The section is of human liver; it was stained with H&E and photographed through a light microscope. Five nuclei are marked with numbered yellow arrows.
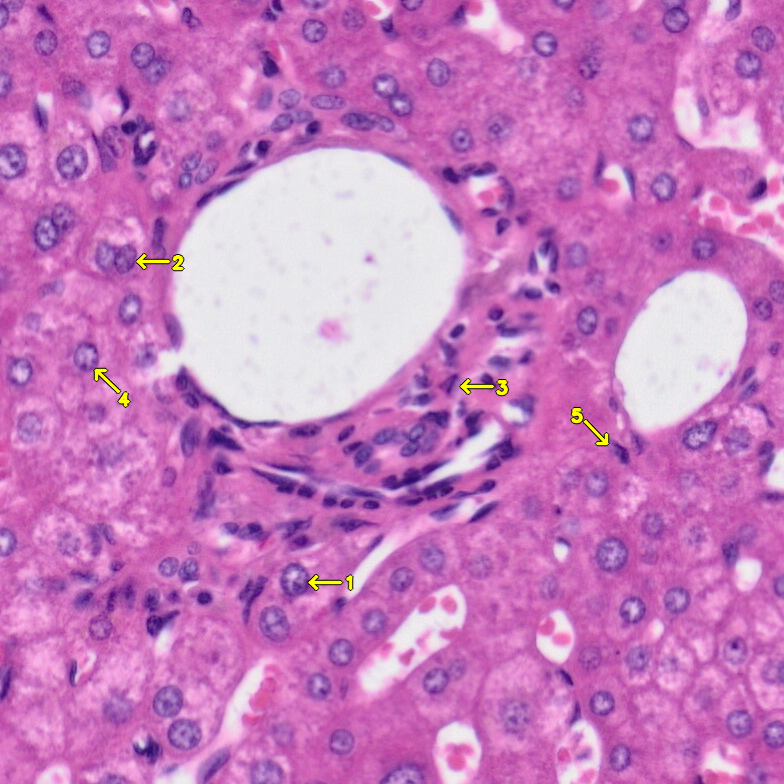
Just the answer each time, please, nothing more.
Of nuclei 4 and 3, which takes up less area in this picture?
3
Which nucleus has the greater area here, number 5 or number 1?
1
